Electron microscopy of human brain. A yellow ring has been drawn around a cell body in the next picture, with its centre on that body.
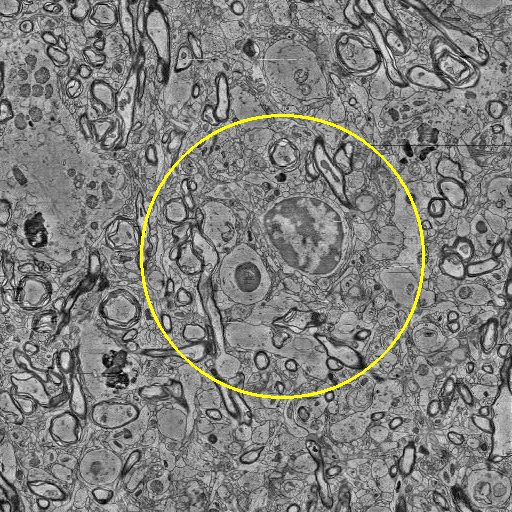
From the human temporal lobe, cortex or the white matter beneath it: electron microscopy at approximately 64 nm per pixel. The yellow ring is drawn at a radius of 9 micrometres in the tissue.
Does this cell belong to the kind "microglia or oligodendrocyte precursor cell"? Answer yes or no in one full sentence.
Yes, the ringed cell in this picture, sitting at the ring's centre, is of that kind.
